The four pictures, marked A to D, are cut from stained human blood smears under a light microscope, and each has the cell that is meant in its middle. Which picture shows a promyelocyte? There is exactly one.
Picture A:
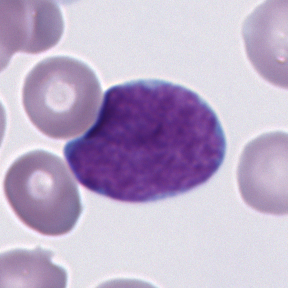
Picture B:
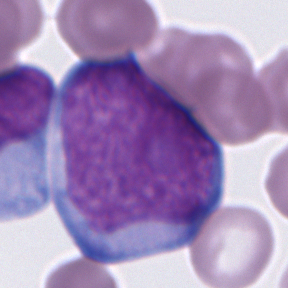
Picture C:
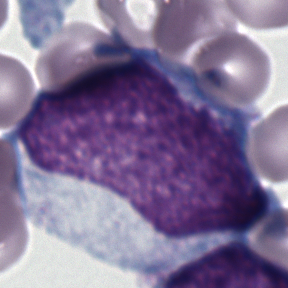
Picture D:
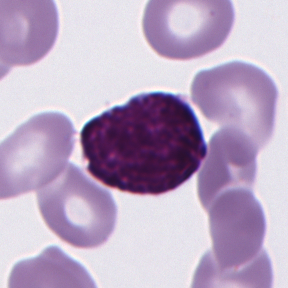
C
